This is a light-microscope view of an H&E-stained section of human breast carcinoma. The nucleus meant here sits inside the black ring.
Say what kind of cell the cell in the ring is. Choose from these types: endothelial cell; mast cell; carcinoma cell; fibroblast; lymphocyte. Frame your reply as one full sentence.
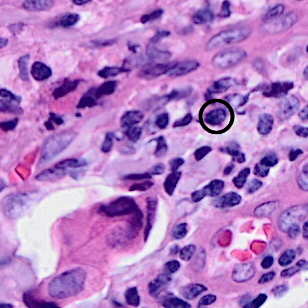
At the level of cell identity, the cell in the ring is a lymphocyte.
